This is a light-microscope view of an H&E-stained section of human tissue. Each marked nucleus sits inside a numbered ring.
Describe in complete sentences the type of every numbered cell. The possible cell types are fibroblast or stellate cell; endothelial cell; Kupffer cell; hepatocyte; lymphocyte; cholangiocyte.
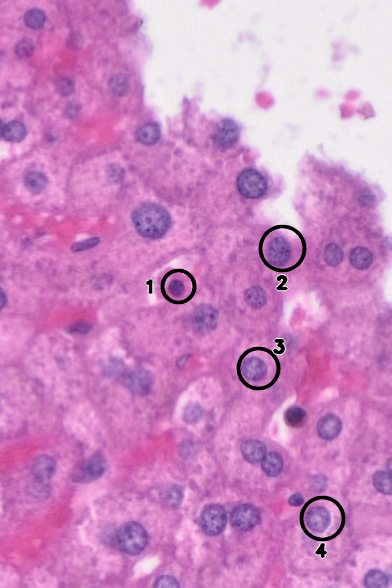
Cell 1 is a lymphocyte. Cells 2, 3 and 4 are hepatocytes.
